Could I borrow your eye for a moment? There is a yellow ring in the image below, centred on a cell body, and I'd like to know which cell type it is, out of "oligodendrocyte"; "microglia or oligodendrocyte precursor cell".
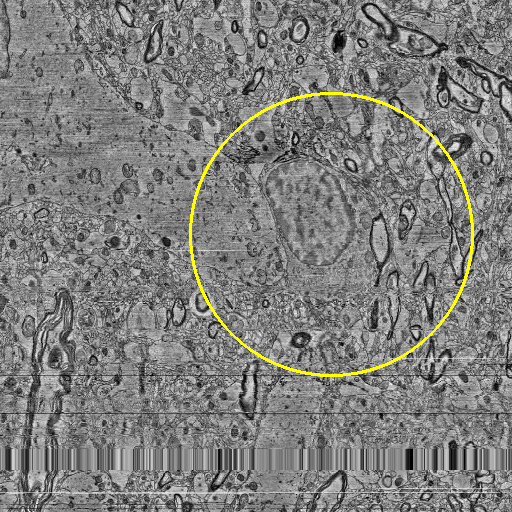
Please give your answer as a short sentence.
The cell body at the centre is that of an oligodendrocyte.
